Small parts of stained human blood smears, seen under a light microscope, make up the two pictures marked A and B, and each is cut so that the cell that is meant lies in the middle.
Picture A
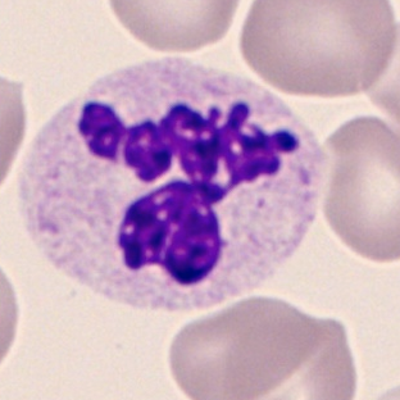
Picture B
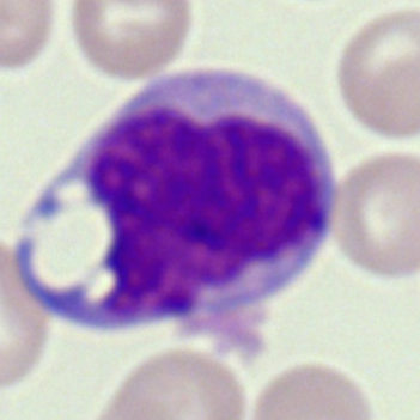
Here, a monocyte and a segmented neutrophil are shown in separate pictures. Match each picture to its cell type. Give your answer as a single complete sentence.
Picture A is of a segmented neutrophil, and picture B is of a monocyte.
